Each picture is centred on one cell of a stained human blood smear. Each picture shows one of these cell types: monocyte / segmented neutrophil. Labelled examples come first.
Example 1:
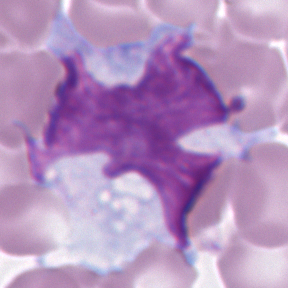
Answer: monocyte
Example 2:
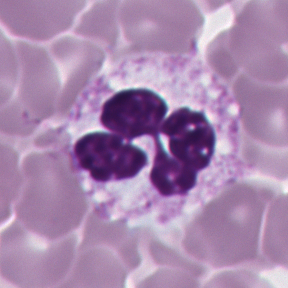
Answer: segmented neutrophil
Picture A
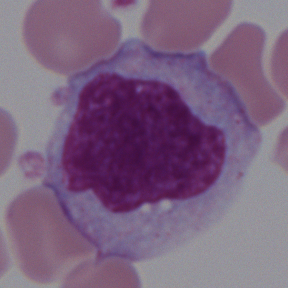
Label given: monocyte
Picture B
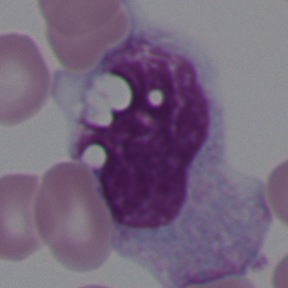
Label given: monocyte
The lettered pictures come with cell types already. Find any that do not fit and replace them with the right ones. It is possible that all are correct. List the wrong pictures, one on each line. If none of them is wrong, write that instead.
No label is wrong.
